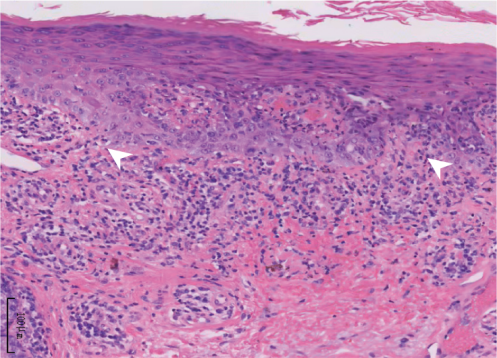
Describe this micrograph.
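This is skin at the junction of epidermis and dermis, with inflammation along the dermoepidermal junction. The epidermis forms a purple stratified band capped by a thin layer of keratin. Its lower layers look pale and are blurred into the underlying dermis. In the upper dermis, many small dark inflammatory cells crowd beneath and into the basal layer. Deeper down, the dermis is pink and fibrous, with further clusters of these cells.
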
